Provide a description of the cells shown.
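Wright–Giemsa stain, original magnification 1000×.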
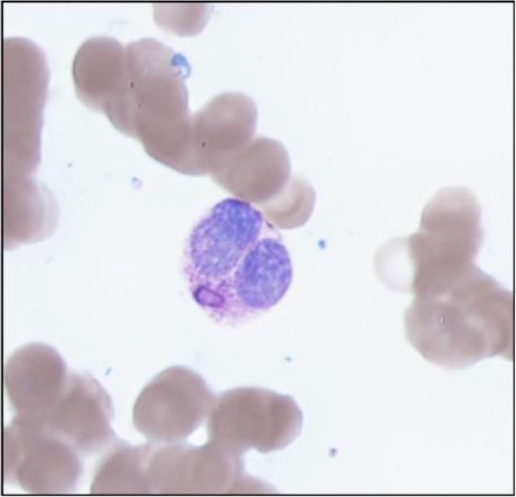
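A promyelocyte sits in a clearing beside a crowd of pink red blood cells. Its nucleus is folded into two rounded, purple lobes with a fine chromatin pattern.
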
